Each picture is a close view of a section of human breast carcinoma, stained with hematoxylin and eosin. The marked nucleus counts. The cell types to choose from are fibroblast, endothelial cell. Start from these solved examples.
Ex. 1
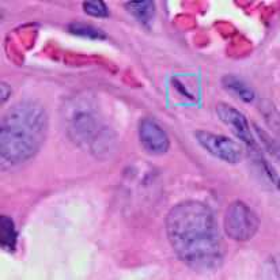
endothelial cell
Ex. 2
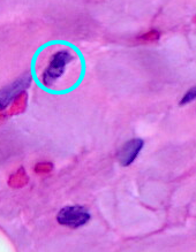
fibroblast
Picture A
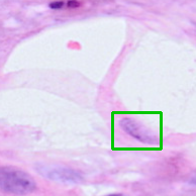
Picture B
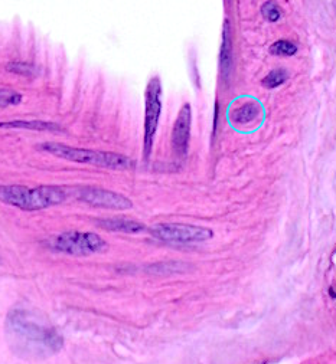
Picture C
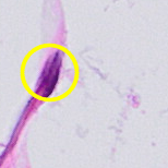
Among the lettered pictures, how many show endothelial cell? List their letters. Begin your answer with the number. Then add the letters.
2, namely B, C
